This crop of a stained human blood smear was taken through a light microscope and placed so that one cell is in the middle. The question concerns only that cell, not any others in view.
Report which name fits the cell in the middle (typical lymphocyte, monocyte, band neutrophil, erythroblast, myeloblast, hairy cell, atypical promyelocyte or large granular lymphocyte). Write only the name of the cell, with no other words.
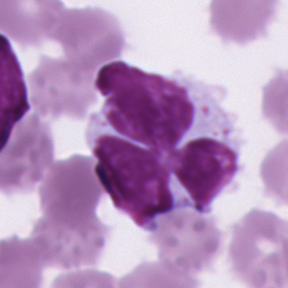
large granular lymphocyte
